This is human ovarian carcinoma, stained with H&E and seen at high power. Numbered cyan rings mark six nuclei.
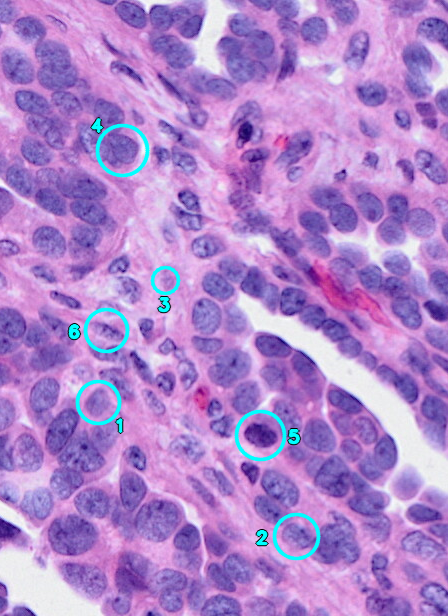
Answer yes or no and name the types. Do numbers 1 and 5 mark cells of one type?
Yes, both of cells 1 and 5 are carcinoma cells.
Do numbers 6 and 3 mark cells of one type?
Yes, both cells, 6 and 3, are fibroblasts.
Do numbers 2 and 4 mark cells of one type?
Yes, and to be precise, cells 2 and 4 are both carcinoma cells.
